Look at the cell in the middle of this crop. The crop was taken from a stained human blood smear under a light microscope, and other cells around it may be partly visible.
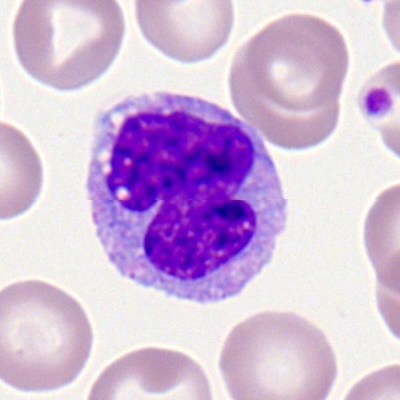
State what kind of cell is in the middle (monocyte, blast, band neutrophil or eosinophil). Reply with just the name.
monocyte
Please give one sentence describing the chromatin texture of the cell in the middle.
The chromatin is fine, with no coarse clumping anywhere.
